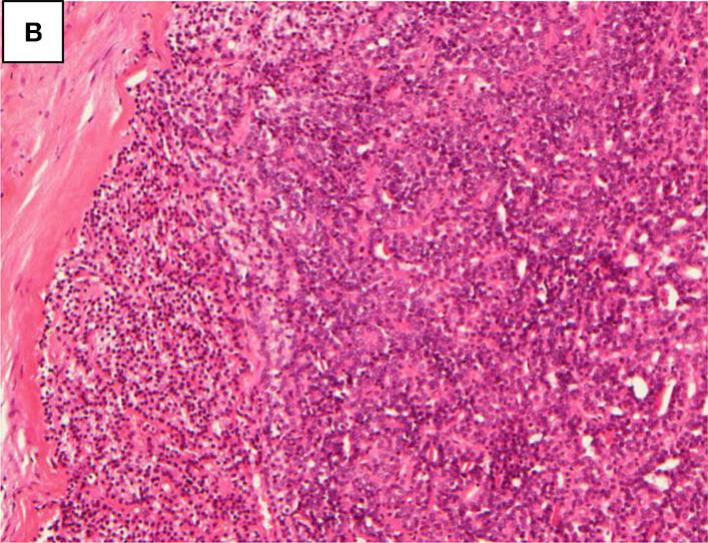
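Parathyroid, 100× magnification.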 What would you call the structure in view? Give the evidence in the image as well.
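Closely packed cells form broad solid sheets. Small clear spaces lie among the cells, some giving a gland-like pattern. A pink fibrous band borders the cell mass on the left. That points to this answer: sheets or glands.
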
